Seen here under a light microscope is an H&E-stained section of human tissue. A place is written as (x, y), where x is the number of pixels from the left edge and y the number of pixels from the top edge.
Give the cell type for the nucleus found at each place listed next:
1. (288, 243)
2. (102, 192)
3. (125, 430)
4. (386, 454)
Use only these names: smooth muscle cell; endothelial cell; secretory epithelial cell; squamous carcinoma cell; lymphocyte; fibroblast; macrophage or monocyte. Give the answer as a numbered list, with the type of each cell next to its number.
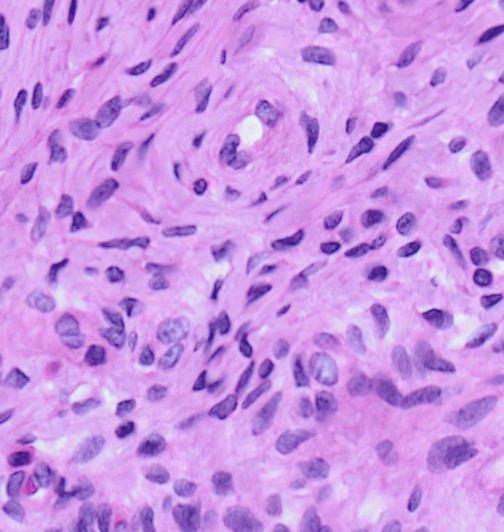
1. fibroblast
2. fibroblast
3. lymphocyte
4. fibroblast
